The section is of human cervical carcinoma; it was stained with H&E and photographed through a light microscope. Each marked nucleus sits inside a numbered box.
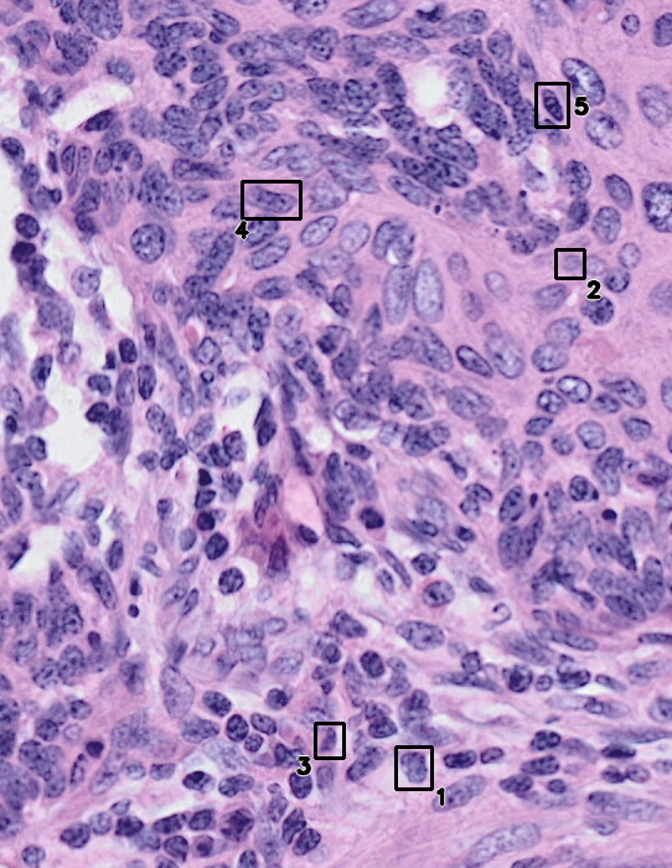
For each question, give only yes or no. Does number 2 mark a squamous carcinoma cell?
yes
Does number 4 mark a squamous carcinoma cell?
yes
